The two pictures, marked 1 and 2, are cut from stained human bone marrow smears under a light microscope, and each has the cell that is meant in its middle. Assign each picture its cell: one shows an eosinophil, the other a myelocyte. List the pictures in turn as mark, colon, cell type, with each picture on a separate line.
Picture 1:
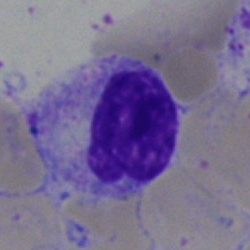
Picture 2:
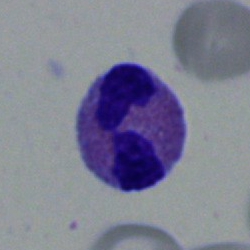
1: myelocyte
2: eosinophil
